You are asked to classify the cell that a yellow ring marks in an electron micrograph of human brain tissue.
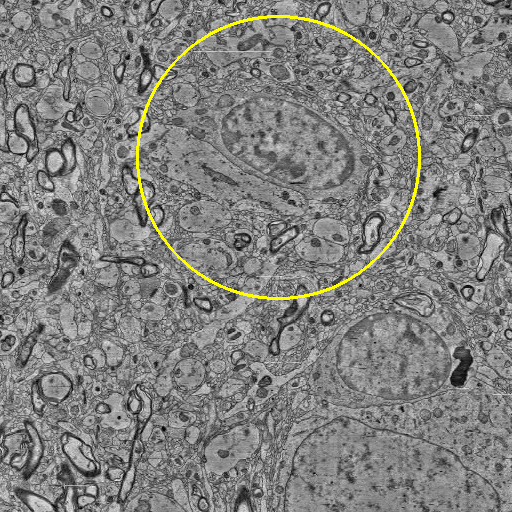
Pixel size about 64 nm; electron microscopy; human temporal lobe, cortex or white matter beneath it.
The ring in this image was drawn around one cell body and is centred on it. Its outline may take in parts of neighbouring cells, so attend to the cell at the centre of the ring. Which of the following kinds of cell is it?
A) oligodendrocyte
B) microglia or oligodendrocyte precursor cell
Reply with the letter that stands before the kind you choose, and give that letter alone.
A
